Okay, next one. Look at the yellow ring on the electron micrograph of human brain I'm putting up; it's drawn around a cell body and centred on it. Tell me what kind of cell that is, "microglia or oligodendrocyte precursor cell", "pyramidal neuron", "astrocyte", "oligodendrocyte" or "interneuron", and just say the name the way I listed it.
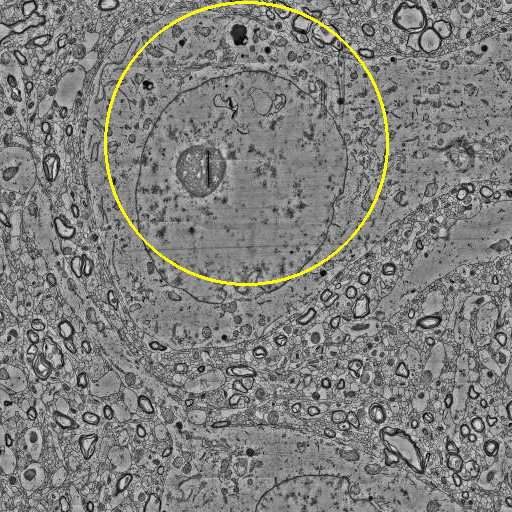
pyramidal neuron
